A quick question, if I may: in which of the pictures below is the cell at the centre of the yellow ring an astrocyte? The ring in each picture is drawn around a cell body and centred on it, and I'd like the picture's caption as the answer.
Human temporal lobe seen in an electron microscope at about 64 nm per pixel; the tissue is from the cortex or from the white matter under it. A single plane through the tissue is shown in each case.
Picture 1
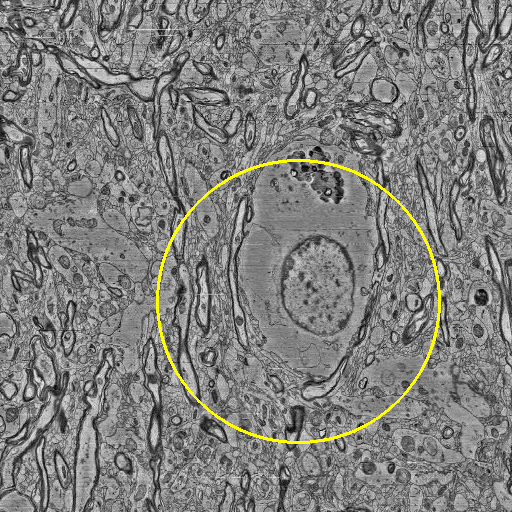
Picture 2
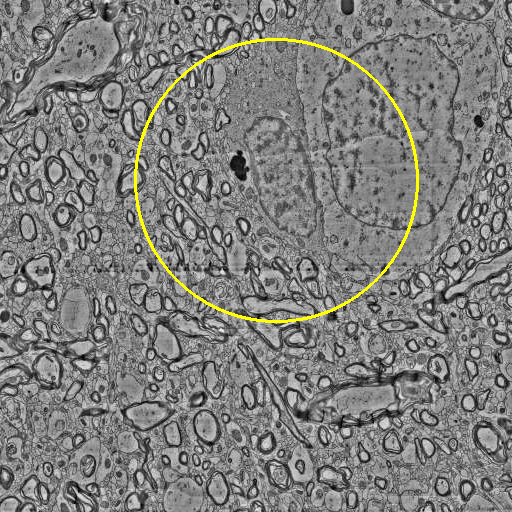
Picture 1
